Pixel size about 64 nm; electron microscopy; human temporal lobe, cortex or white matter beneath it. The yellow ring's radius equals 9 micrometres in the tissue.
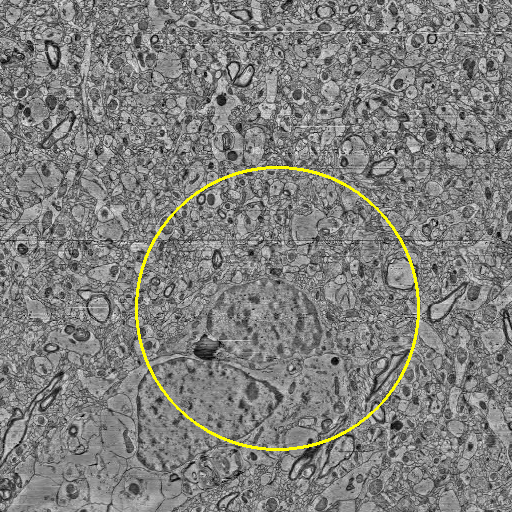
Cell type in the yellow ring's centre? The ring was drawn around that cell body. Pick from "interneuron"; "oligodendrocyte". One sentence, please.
The ringed cell body is that of an oligodendrocyte.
